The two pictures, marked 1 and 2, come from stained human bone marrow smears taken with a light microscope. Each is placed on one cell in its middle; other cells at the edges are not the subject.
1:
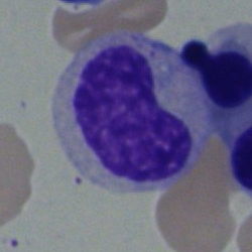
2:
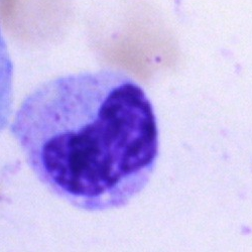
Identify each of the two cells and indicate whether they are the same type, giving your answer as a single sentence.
Yes, as for both crops, the cells shown are metamyelocytes.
